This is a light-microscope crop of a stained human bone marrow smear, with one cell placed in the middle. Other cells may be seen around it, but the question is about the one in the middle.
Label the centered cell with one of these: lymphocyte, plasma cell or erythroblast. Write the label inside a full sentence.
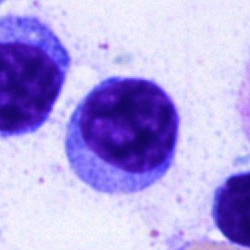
The middle of this crop holds a lymphocyte.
